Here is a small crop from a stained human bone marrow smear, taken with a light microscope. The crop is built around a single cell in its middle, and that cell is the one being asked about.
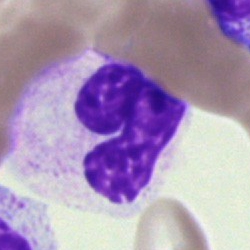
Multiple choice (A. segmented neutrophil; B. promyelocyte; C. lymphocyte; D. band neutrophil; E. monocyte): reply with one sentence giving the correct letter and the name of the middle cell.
The correct option is D, as the central cell is a band neutrophil.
